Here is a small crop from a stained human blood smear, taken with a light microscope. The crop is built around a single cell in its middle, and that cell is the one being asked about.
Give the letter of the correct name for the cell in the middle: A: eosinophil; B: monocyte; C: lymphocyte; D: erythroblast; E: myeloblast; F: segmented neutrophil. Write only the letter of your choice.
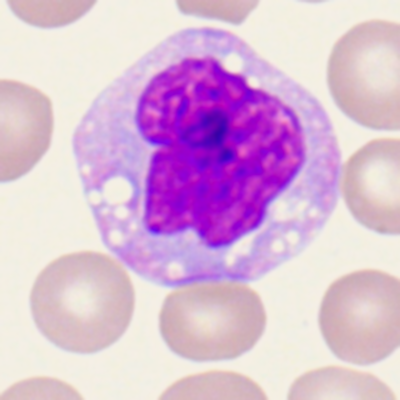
B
